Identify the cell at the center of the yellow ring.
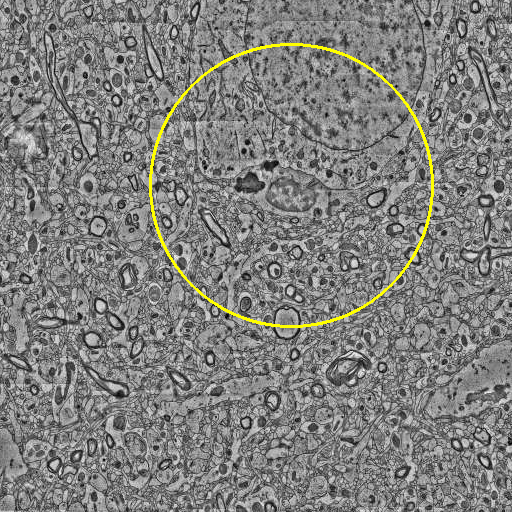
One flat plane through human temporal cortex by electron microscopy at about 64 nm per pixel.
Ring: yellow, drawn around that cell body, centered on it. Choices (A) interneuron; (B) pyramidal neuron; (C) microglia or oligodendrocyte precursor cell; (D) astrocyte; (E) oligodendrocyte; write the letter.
E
